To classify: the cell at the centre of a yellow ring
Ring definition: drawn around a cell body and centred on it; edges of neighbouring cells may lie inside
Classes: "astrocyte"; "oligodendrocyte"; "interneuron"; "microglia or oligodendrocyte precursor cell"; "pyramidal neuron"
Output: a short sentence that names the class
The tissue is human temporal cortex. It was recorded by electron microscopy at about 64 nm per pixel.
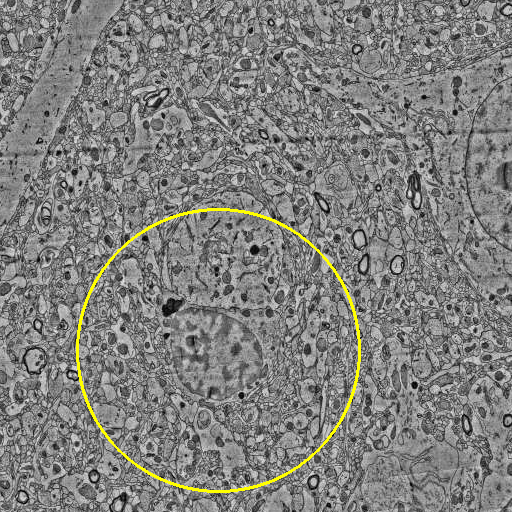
The ringed cell is an oligodendrocyte.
